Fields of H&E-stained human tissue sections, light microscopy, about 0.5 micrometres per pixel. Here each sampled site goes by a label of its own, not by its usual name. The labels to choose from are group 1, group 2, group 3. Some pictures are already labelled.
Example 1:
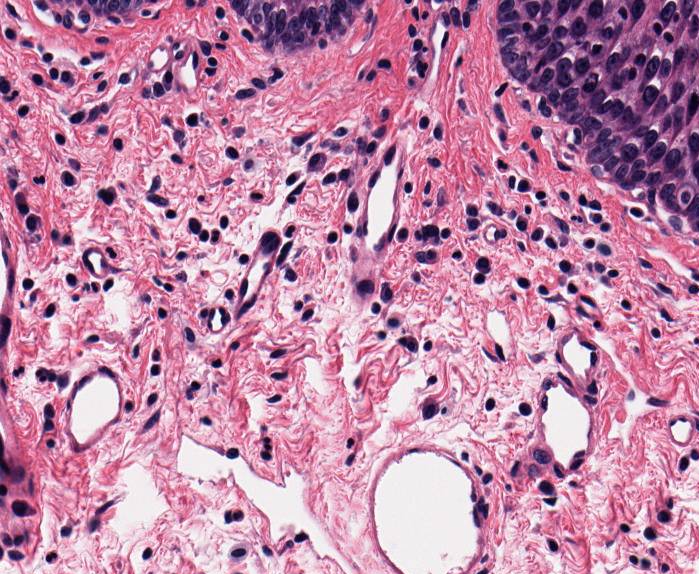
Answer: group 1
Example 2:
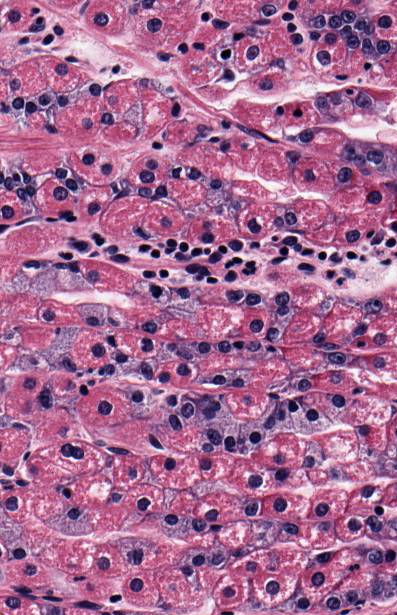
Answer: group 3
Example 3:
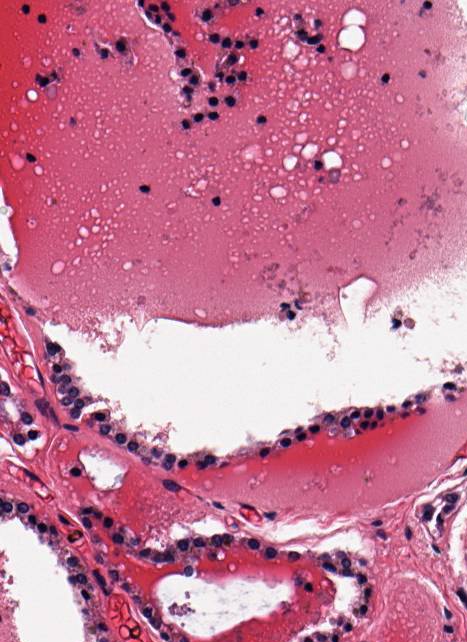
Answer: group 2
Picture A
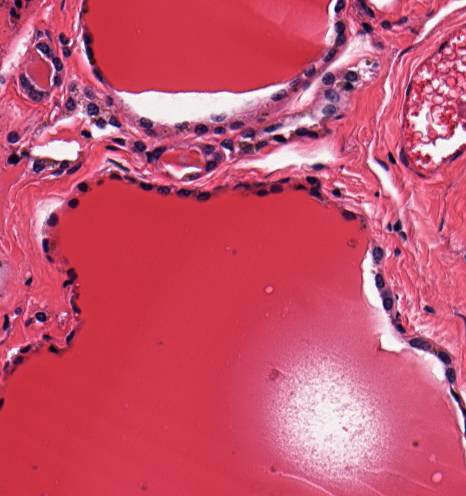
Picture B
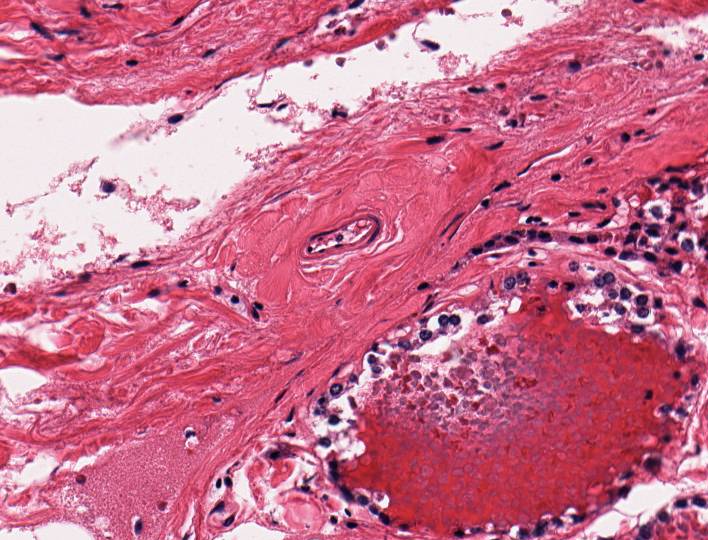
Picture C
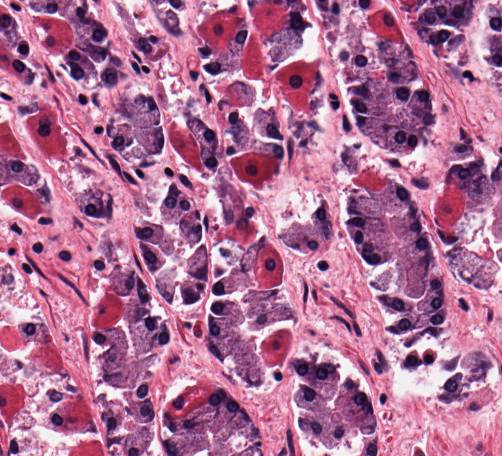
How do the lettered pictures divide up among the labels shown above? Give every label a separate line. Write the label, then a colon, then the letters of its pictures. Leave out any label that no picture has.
group 2: A, B
group 3: C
